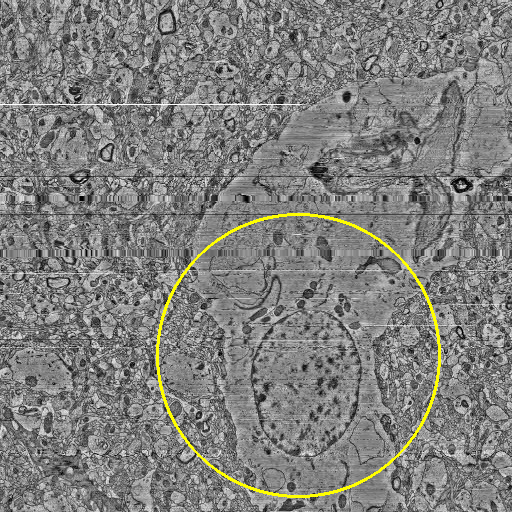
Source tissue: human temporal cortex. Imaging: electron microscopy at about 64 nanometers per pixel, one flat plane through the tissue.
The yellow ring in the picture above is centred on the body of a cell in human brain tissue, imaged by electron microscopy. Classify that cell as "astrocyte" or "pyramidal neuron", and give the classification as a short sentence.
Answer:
The cell in the middle of the ring is an astrocyte.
